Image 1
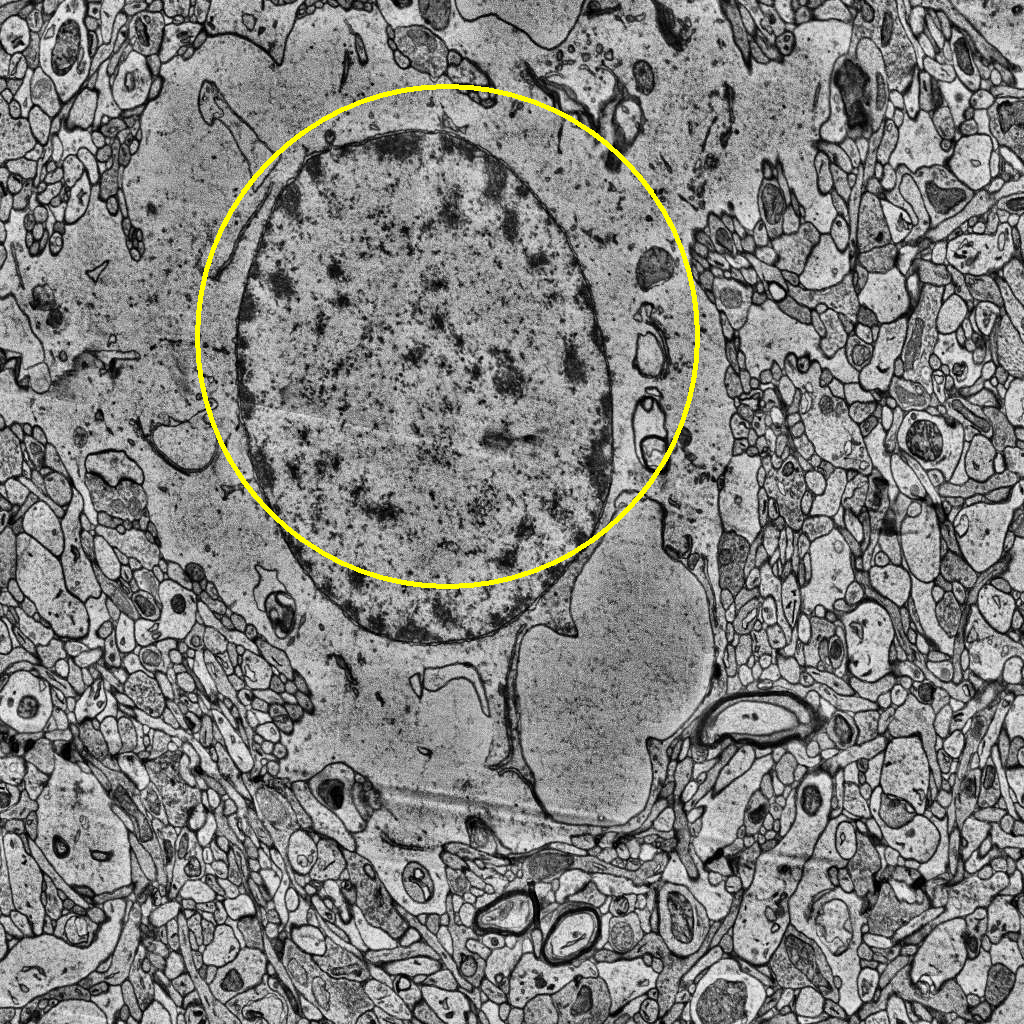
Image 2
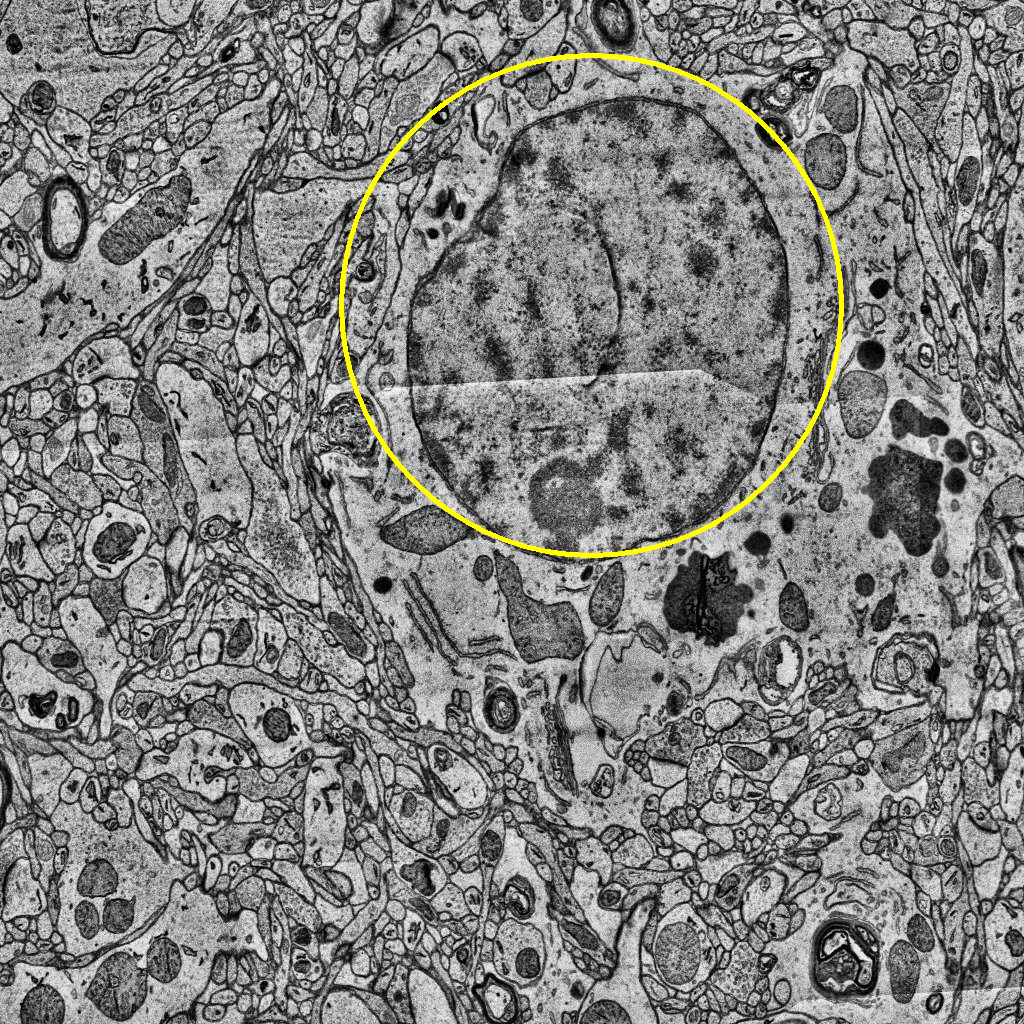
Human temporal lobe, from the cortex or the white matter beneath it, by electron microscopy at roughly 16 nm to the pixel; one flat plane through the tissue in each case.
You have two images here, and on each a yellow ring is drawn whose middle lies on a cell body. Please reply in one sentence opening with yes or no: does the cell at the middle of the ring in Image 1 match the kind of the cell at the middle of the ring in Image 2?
Yes, the two images show cells of one kind at the centres of their rings.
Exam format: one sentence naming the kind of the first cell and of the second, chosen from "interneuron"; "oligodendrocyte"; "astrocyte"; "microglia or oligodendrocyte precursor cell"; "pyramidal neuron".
The ring centre holds an astrocyte in each of the two pictures.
